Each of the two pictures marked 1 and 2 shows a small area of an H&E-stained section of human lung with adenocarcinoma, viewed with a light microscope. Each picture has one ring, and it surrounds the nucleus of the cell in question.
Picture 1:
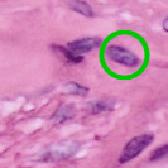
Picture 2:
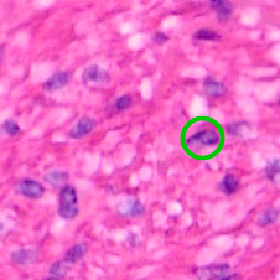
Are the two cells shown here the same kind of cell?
yes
